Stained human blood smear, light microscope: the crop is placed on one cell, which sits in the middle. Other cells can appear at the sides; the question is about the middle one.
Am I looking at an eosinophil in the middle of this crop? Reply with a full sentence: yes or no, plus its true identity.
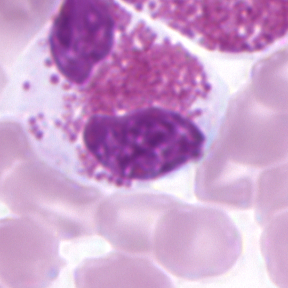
Yes, the cell at the midpoint of the crop is an eosinophil.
